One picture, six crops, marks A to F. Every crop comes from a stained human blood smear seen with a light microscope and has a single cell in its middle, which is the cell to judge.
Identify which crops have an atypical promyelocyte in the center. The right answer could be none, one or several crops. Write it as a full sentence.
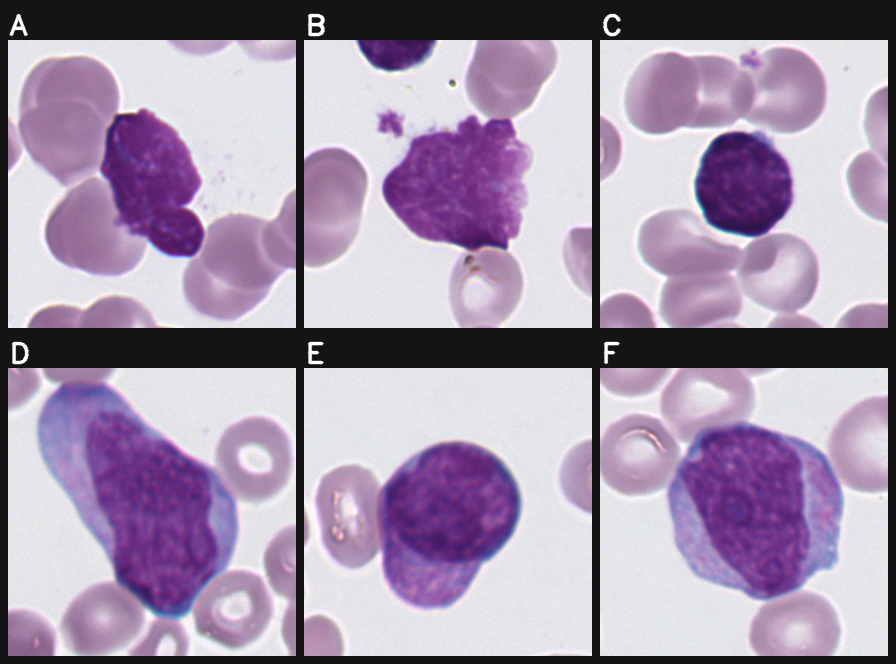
Among the crops, D, E and F are those that show atypical promyelocytes.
